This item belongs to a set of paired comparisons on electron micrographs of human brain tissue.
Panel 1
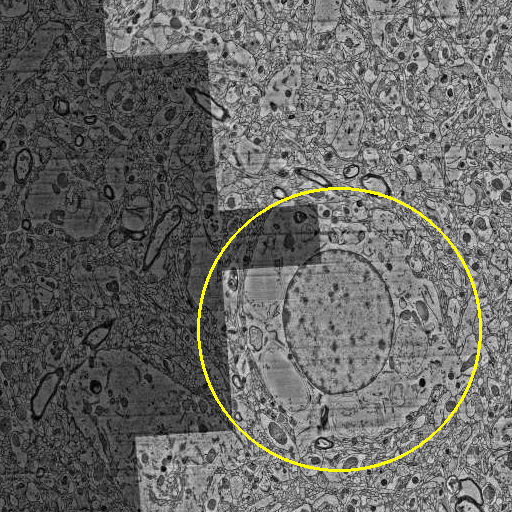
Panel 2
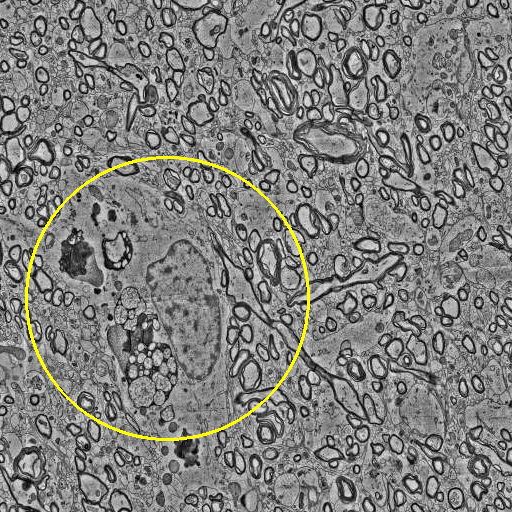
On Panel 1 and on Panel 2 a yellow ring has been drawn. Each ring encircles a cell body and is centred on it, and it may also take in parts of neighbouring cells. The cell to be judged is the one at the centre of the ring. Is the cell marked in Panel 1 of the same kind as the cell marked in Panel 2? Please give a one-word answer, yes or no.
yes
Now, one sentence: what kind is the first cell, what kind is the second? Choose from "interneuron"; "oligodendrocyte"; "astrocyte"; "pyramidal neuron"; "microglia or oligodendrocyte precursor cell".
The first and the second cell are each an astrocyte.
